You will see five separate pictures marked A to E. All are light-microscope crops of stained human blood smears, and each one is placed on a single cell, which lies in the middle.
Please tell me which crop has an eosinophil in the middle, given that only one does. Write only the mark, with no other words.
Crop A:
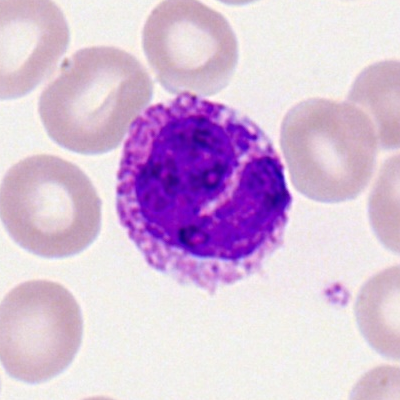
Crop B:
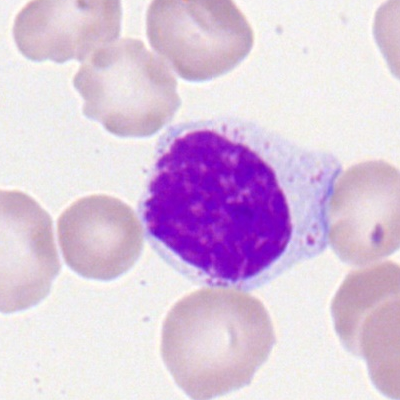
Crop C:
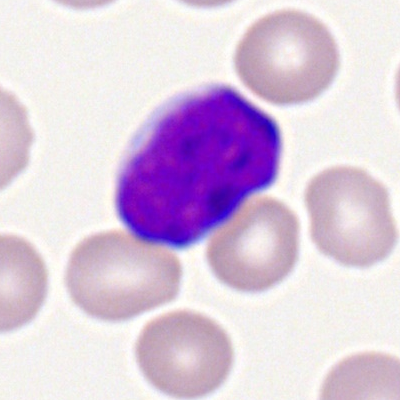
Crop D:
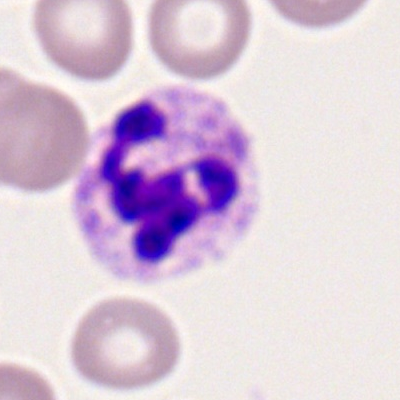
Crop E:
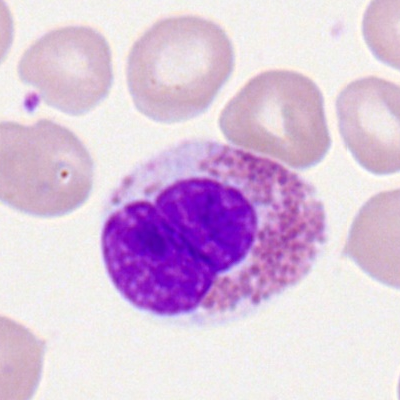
E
